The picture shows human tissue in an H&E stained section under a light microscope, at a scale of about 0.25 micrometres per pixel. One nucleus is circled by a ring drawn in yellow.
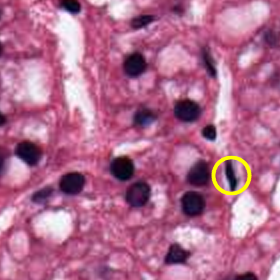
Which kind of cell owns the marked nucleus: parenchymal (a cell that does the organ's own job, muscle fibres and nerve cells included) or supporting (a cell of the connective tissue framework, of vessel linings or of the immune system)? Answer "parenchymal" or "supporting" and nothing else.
supporting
